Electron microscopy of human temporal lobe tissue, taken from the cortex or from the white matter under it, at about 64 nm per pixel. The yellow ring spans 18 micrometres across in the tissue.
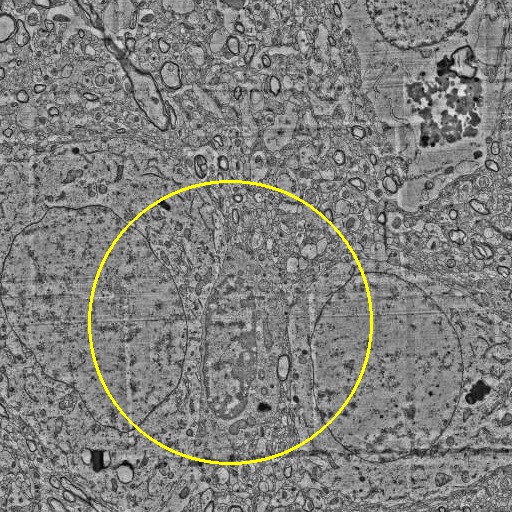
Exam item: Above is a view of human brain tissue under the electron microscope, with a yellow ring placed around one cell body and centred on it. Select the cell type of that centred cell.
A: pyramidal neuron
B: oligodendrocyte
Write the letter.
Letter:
B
